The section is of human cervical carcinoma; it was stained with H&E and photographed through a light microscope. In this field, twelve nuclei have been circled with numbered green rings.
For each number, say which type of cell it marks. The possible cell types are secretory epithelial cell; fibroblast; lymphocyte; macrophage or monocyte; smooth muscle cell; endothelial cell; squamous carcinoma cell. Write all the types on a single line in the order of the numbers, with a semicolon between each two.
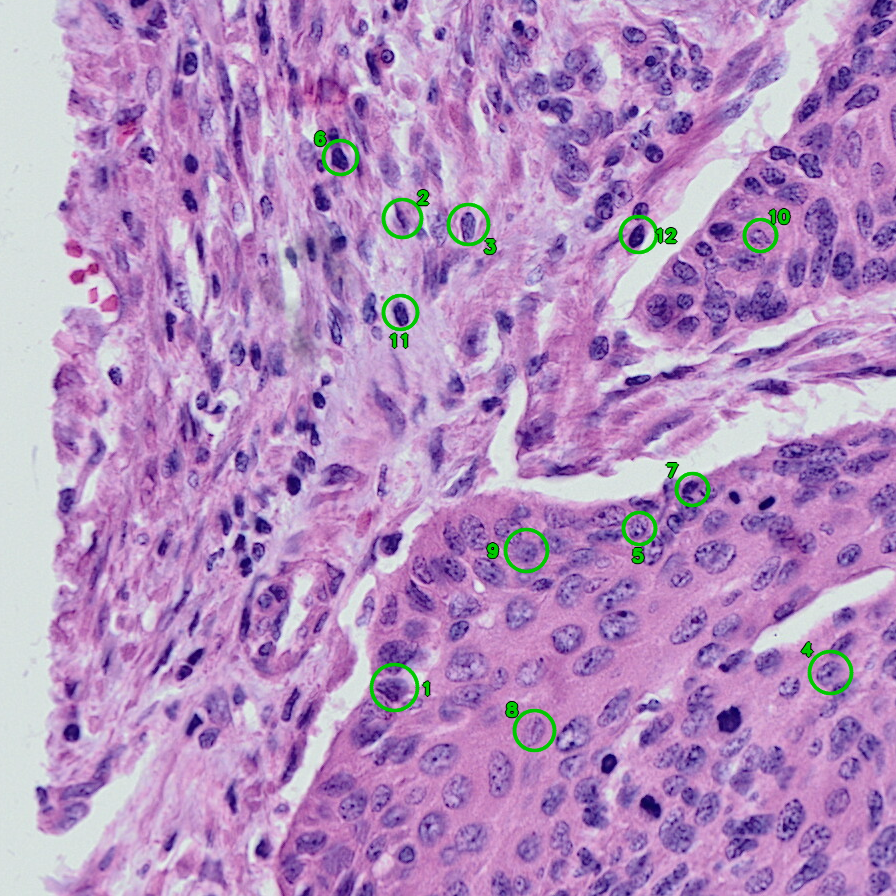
squamous carcinoma cell; fibroblast; lymphocyte; squamous carcinoma cell; squamous carcinoma cell; lymphocyte; squamous carcinoma cell; squamous carcinoma cell; squamous carcinoma cell; squamous carcinoma cell; lymphocyte; lymphocyte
